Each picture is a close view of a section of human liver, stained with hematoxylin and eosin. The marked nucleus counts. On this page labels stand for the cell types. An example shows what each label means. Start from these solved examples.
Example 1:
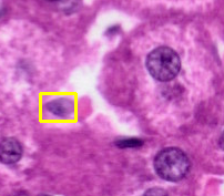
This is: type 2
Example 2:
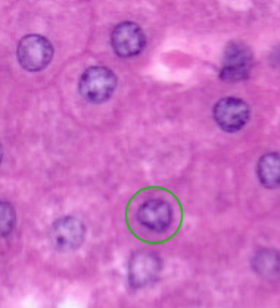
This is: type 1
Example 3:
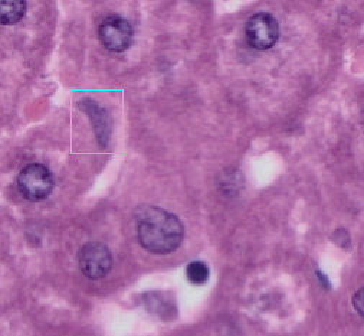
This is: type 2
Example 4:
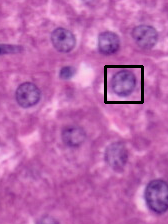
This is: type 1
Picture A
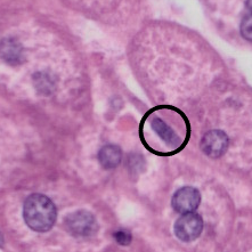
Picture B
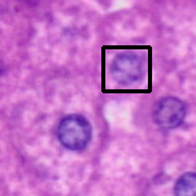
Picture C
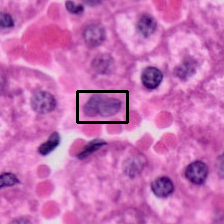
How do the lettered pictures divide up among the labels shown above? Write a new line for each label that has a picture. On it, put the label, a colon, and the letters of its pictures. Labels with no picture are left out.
type 2: A, C
type 1: B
